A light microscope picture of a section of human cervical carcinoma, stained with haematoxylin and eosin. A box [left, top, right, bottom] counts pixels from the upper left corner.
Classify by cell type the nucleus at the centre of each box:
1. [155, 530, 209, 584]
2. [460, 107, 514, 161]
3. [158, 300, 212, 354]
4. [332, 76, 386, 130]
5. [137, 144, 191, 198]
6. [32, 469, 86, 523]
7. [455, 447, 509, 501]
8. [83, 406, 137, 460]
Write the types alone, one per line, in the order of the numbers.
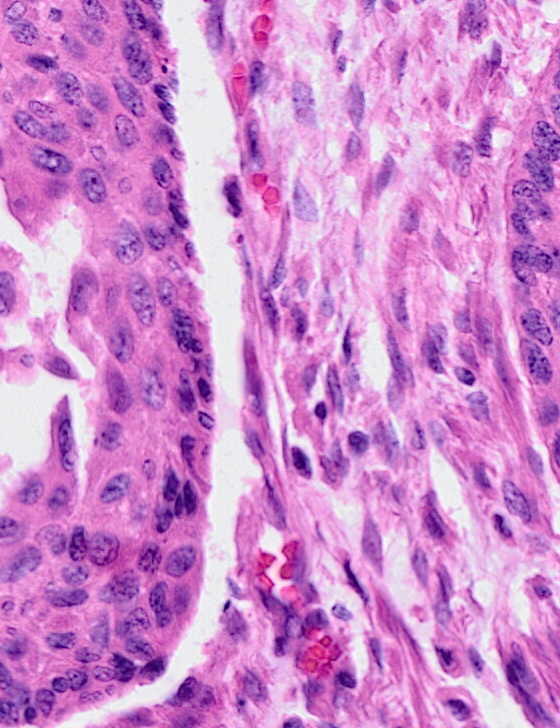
squamous carcinoma cell
fibroblast
squamous carcinoma cell
fibroblast
squamous carcinoma cell
squamous carcinoma cell
fibroblast
squamous carcinoma cell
